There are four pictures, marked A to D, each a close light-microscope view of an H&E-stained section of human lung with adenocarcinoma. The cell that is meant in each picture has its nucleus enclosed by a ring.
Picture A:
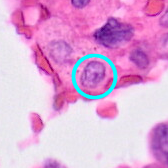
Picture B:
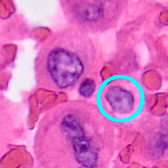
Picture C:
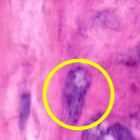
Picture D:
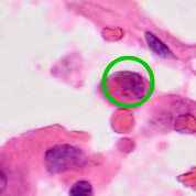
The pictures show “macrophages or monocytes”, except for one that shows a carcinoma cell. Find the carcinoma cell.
C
